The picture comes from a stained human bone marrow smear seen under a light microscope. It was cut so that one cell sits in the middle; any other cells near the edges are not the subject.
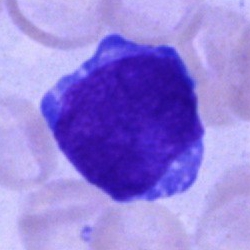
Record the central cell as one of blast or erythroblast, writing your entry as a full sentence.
The central element of this crop is a cell, namely a blast.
